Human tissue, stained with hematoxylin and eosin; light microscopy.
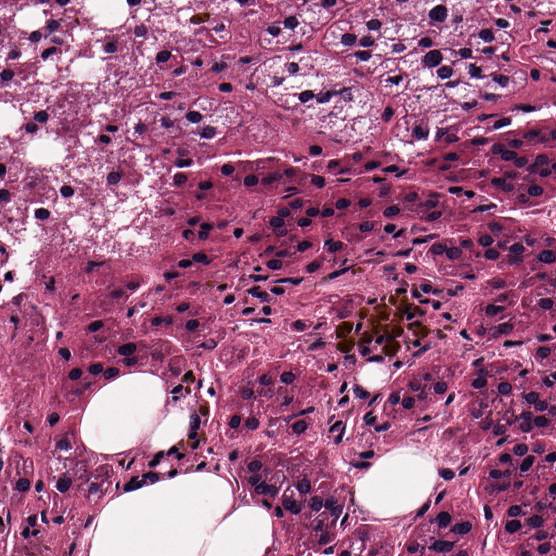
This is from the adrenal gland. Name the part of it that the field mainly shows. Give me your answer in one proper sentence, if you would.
In this image of a tissue section, the part is named zona reticularis.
